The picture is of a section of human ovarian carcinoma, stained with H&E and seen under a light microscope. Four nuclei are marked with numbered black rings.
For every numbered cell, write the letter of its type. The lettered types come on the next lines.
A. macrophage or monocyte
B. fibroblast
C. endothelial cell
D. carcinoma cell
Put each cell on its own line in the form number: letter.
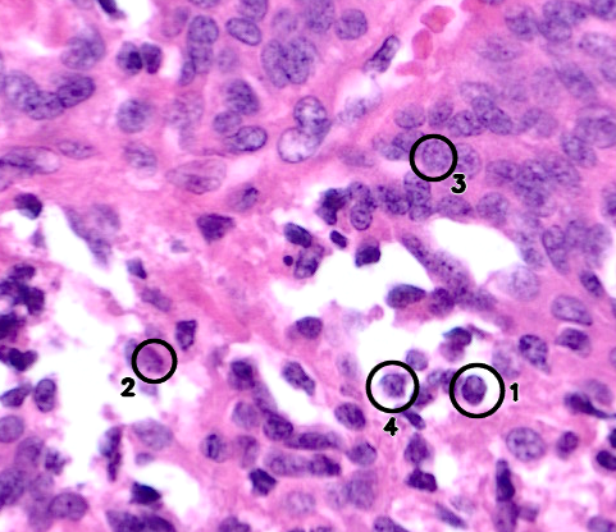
1: D
2: A
3: D
4: D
